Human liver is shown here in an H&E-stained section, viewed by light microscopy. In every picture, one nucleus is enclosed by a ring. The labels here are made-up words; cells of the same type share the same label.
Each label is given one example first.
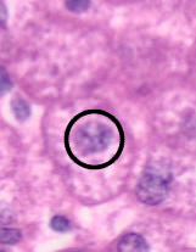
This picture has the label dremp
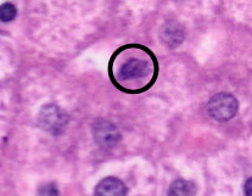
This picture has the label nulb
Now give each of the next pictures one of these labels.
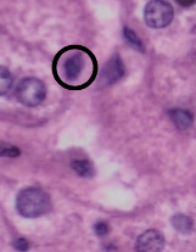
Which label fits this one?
nulb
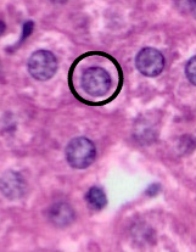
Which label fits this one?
dremp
